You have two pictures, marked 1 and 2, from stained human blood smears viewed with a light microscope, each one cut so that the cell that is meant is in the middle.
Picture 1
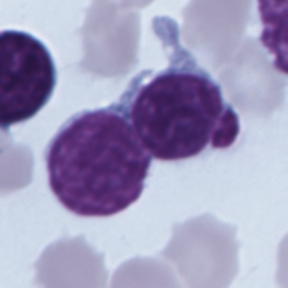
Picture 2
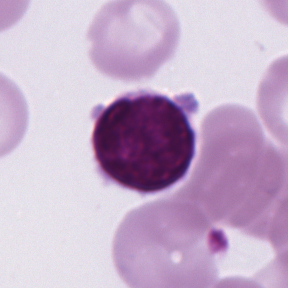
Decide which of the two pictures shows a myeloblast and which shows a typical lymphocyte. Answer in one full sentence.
Picture 1 is of a myeloblast, and picture 2 is of a typical lymphocyte.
